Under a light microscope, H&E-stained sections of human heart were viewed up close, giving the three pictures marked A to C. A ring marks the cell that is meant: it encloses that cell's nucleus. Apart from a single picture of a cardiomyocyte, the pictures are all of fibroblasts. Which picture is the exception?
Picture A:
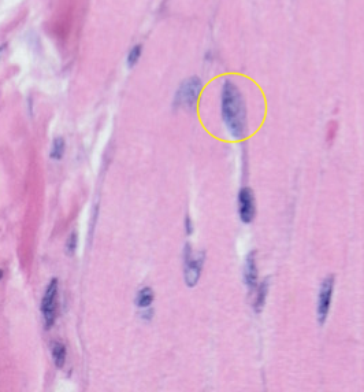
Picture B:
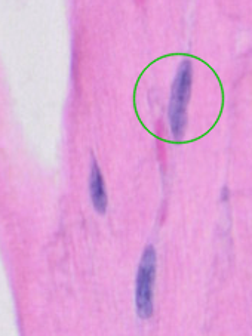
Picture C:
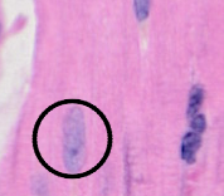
C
